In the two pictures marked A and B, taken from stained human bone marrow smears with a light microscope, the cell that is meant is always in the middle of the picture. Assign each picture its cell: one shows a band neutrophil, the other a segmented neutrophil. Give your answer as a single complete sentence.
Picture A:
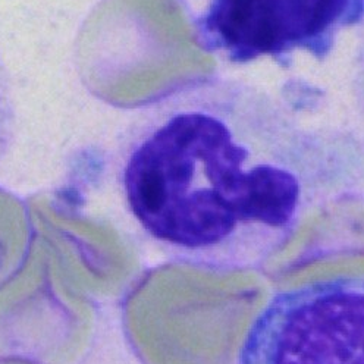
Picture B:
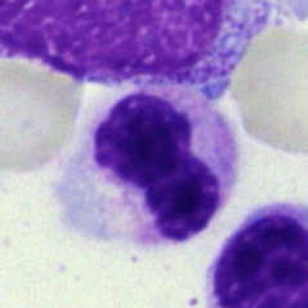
In picture A the cell is a segmented neutrophil; in picture B, a band neutrophil.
